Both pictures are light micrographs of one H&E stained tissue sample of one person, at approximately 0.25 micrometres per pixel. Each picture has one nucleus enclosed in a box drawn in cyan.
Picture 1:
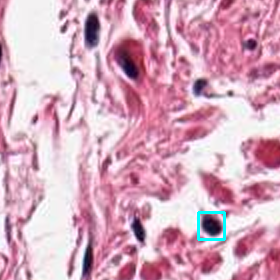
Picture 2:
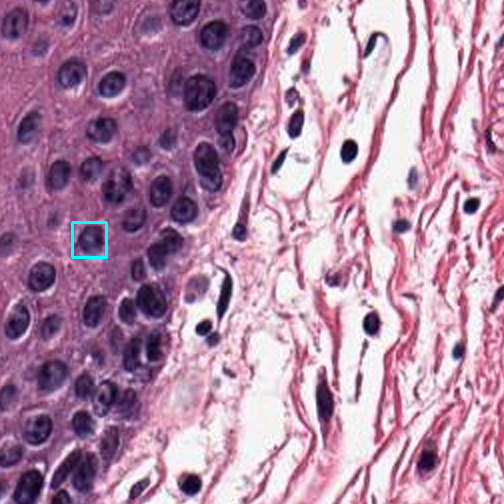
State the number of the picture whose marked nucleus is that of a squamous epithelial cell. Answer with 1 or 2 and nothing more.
2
